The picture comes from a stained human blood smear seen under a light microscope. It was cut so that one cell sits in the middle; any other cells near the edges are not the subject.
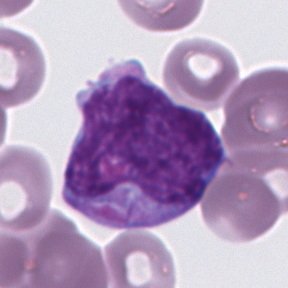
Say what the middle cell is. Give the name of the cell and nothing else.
atypical promyelocyte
